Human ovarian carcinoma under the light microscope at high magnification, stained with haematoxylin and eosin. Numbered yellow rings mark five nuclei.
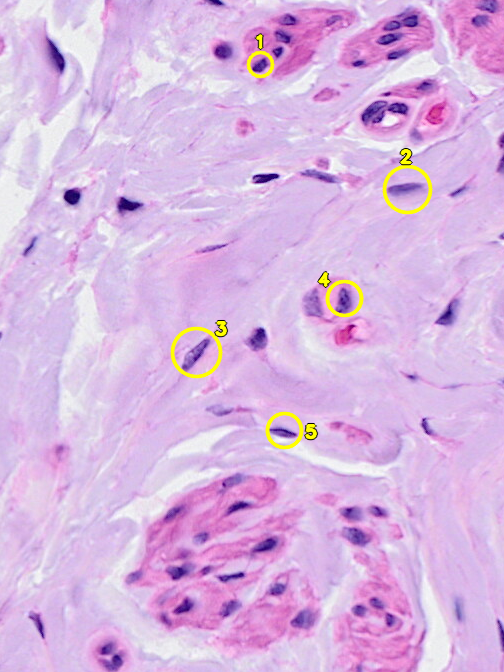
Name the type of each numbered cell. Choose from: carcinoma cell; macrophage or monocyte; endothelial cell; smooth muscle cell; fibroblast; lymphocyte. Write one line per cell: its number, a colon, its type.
1: smooth muscle cell
2: fibroblast
3: fibroblast
4: endothelial cell
5: fibroblast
